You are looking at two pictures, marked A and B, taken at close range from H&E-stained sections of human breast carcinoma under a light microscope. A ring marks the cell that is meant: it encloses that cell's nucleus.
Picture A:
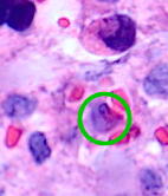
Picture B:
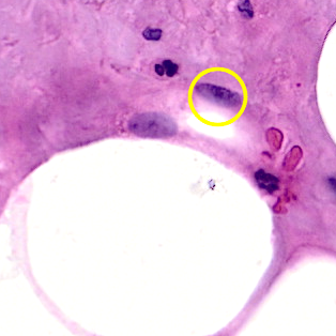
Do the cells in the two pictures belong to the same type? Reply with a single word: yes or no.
no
